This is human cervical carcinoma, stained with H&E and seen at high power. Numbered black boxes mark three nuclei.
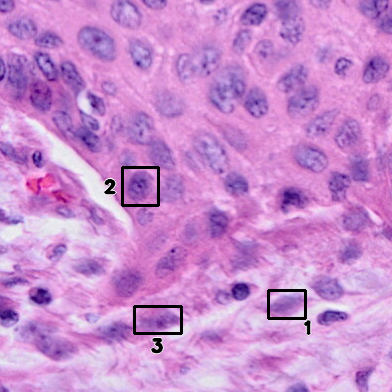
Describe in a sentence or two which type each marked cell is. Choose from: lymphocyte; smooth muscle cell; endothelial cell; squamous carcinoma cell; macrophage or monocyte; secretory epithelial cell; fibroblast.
Cells 1 and 3 are fibroblasts. Cell 2 is a squamous carcinoma cell.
